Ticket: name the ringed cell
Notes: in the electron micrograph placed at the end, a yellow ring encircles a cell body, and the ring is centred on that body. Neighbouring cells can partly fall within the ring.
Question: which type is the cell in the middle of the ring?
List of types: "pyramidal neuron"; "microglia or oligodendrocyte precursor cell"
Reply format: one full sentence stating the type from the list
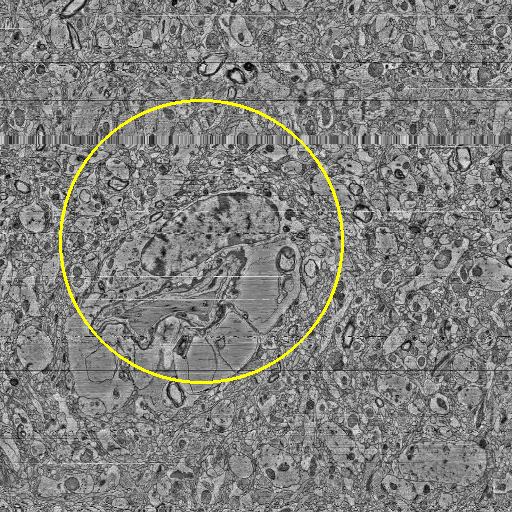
The cell sitting at the centre of the yellow ring is a microglial cell or oligodendrocyte precursor cell.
